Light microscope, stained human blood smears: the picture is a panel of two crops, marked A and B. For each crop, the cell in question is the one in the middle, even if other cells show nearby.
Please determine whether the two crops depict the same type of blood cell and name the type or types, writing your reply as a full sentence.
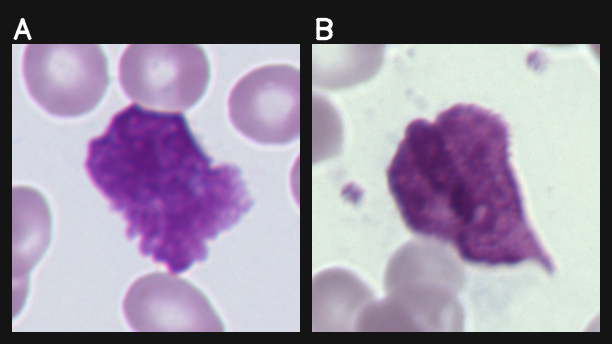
Yes, the two crops show smudge cells, one cell each.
